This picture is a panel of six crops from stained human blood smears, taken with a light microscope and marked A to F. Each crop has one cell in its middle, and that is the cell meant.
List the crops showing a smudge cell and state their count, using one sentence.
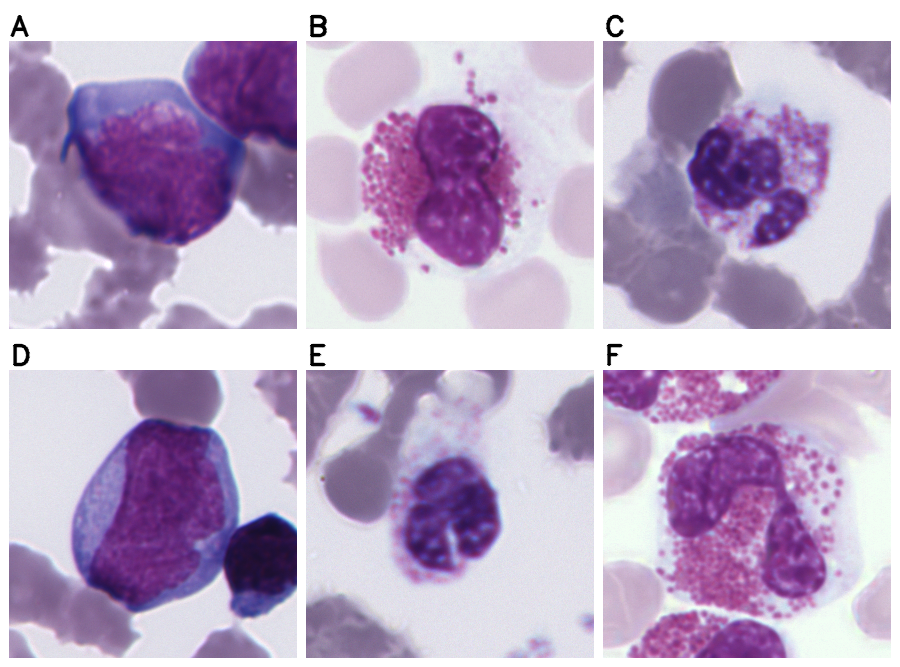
Throughout the crops there are no smudge cells, so the count is zero.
